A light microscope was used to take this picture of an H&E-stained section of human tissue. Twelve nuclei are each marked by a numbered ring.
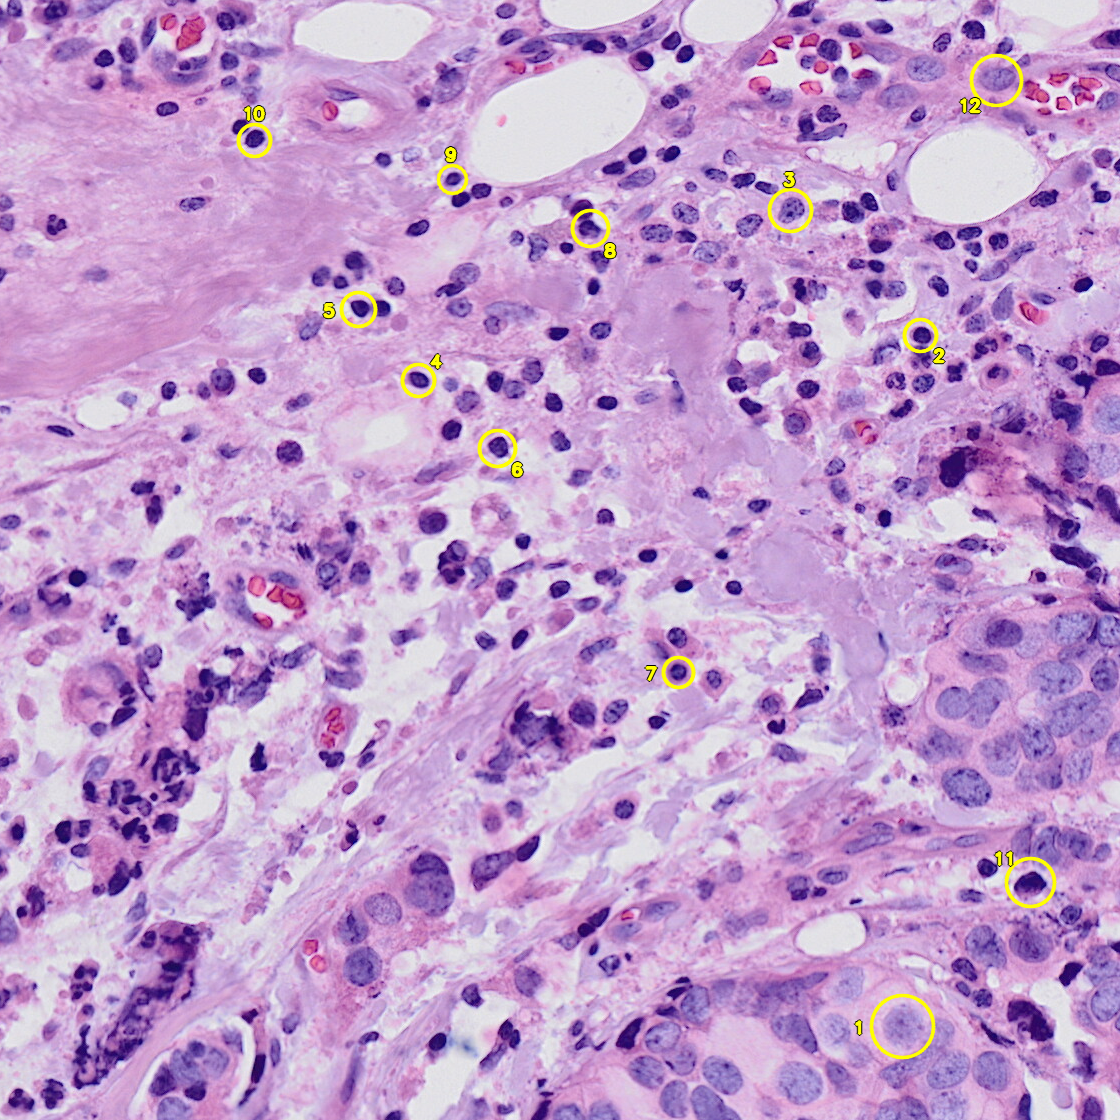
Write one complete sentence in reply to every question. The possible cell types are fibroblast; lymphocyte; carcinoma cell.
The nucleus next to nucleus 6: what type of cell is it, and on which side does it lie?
Just below nucleus 6 lies the nearest nucleus, which belongs to a fibroblast.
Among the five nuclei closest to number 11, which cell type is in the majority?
Carcinoma cells account for more than half of the five nuclei nearest to number 11.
